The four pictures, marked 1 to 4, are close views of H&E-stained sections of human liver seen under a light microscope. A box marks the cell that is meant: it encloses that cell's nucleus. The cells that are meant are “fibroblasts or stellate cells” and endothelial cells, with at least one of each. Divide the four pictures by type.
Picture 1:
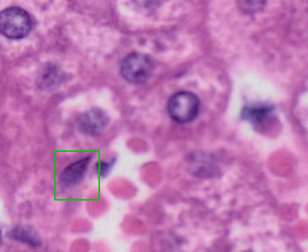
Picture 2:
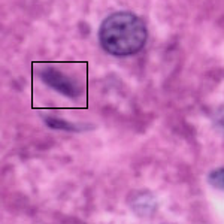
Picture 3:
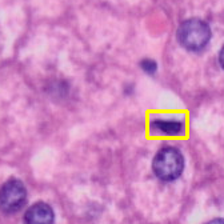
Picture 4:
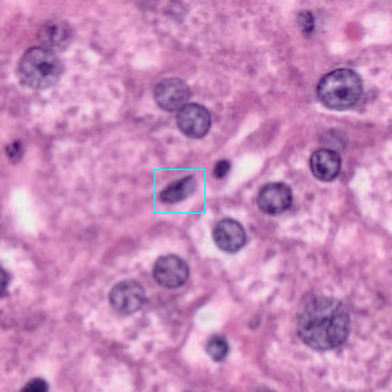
1: fibroblast or stellate cell
2: fibroblast or stellate cell
3: endothelial cell
4: endothelial cell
